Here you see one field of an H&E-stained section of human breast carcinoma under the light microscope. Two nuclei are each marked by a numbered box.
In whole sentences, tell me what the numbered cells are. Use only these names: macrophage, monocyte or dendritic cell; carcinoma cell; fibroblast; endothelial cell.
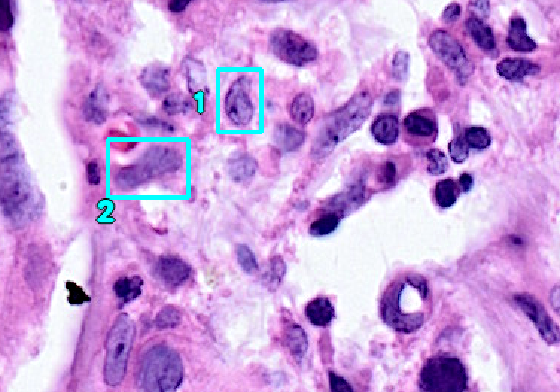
Cell 1 is a macrophage, monocyte or dendritic cell. Cell 2 is an endothelial cell.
